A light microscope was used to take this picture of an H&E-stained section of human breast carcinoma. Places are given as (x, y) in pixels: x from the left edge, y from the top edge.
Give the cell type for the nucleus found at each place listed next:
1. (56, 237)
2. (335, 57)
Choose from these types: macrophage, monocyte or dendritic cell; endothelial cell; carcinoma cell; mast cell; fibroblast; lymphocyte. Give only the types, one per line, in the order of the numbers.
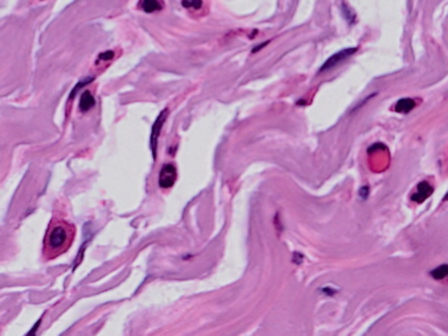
mast cell
fibroblast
